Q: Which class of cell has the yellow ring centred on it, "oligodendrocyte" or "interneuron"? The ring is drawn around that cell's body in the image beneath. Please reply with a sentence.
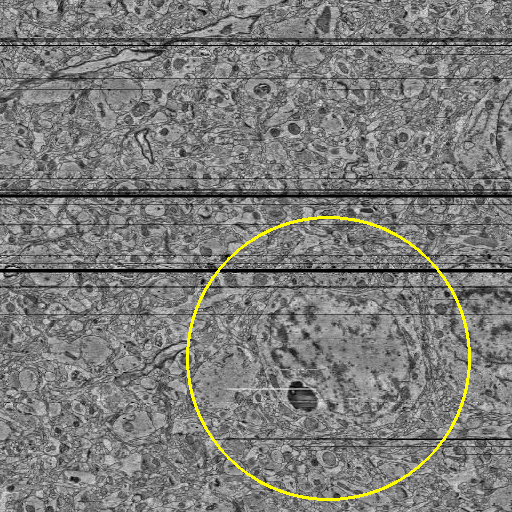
It is centred on an interneuron.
